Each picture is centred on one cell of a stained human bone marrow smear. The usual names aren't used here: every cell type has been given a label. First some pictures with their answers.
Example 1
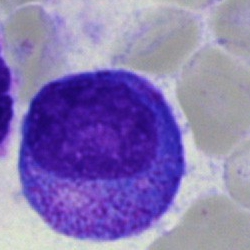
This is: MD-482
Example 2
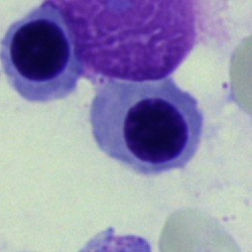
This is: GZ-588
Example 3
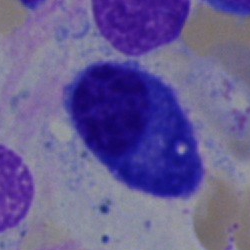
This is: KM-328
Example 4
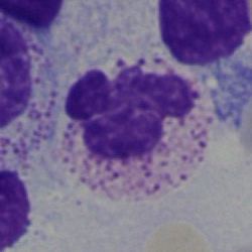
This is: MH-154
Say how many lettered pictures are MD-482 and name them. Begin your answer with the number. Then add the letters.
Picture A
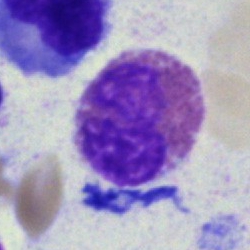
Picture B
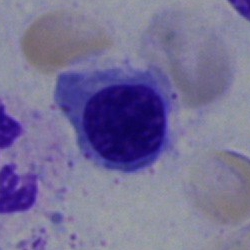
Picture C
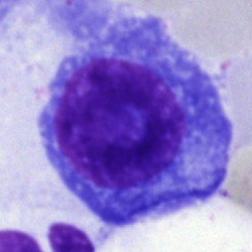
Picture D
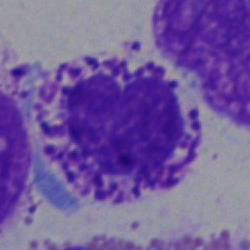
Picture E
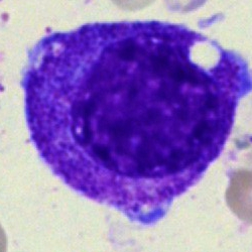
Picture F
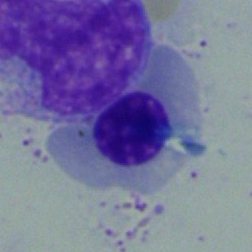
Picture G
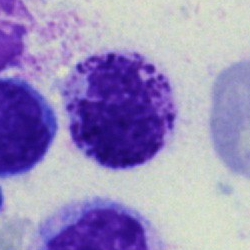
1: E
